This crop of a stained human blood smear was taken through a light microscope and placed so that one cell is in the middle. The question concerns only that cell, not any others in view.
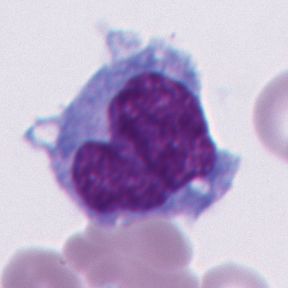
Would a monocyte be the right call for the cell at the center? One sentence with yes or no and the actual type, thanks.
Yes, the cell at the center of the crop is a monocyte.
